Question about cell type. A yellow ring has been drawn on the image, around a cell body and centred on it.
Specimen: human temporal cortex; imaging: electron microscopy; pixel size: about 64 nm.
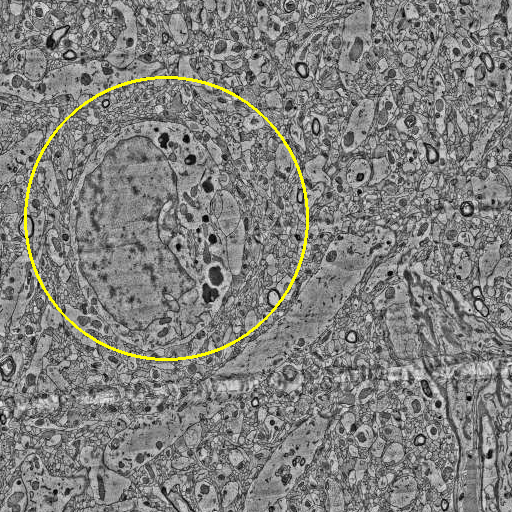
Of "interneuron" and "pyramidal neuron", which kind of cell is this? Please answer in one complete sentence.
At the centre of the ring lies an interneuron.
